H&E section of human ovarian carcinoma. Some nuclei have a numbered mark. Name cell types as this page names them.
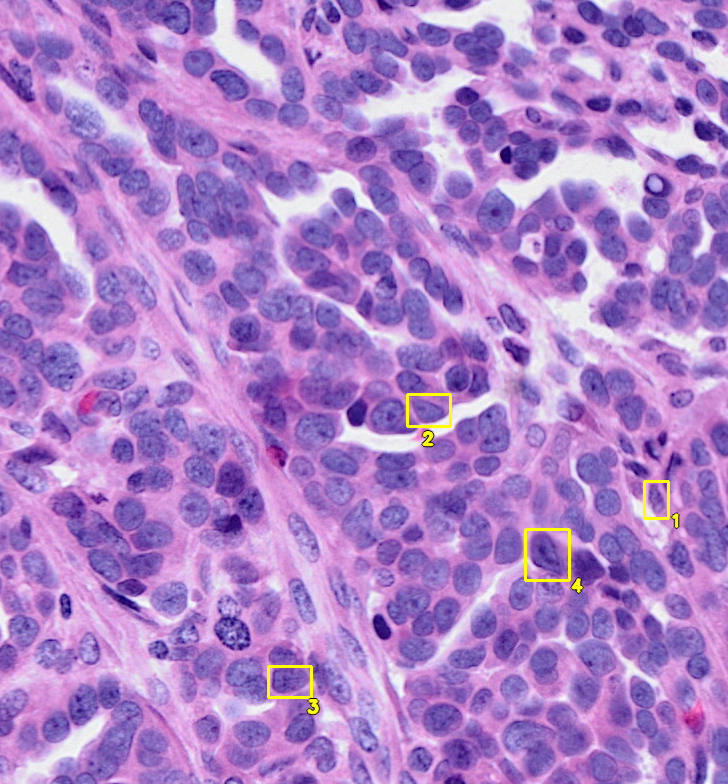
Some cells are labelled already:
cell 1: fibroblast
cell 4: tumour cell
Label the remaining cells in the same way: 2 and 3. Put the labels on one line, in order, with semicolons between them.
tumour cell; tumour cell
